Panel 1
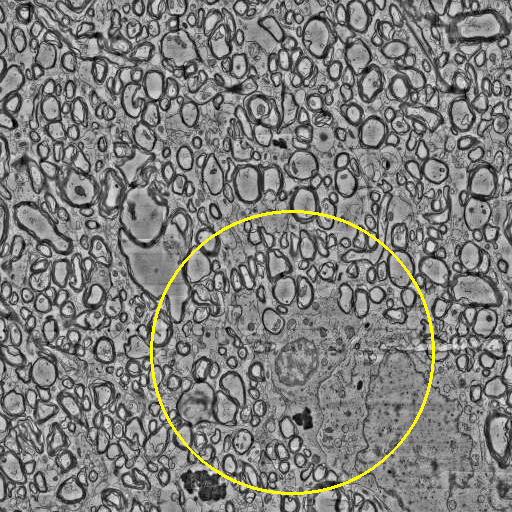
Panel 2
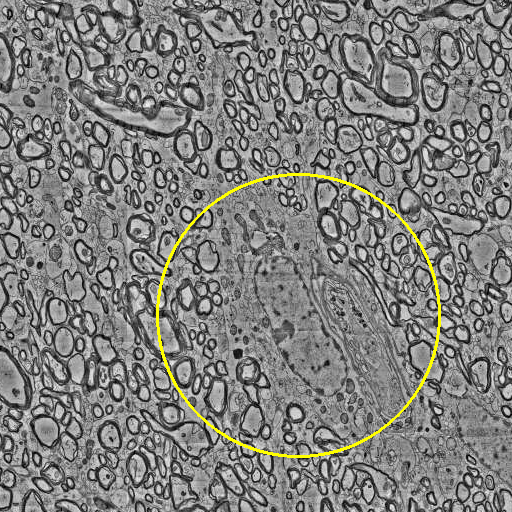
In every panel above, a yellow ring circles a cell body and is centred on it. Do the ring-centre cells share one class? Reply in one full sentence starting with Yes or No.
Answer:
No, the two cells at the ring centres in the panels belong to two classes.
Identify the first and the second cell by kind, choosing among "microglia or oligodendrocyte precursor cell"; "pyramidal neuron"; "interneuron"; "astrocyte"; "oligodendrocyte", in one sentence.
The one in the first picture is an oligodendrocyte, while the one in the second is an astrocyte.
